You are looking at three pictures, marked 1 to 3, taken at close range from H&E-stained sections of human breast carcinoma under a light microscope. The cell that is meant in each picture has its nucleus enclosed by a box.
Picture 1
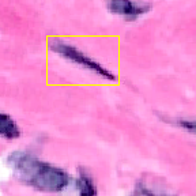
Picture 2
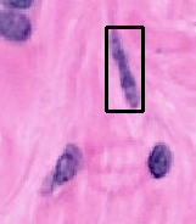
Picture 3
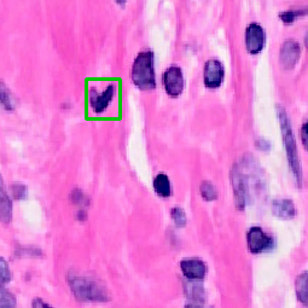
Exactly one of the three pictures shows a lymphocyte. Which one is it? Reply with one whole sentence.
The picture with the lymphocyte is 3.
